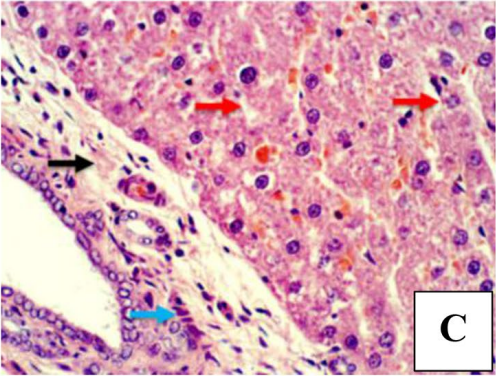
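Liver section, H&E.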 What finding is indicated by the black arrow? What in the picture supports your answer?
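Pale fibrous tissue with elongated spindle nuclei surrounds a large lumen. The fibrous band separates the portal structures from hepatocyte cords. That points to this answer: fibrosis around portal area.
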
